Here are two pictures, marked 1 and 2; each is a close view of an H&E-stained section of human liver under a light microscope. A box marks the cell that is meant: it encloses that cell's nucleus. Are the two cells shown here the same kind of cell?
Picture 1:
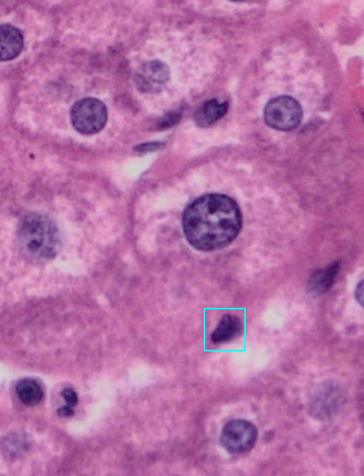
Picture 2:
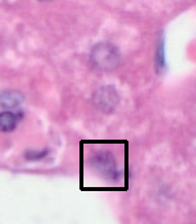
yes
